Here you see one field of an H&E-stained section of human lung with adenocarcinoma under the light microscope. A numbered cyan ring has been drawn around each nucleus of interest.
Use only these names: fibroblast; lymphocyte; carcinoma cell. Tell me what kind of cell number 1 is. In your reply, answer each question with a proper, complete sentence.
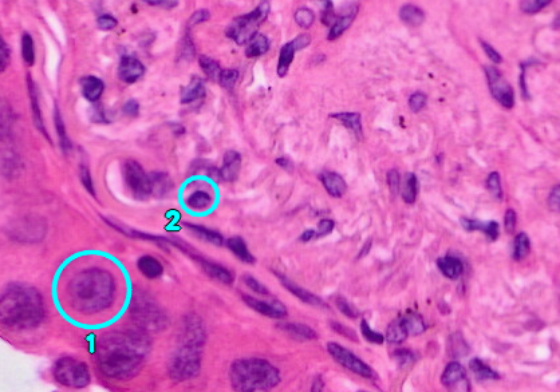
The cell marked with number 1 is a carcinoma cell.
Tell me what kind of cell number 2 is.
The cell that is numbered 2 is a lymphocyte.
